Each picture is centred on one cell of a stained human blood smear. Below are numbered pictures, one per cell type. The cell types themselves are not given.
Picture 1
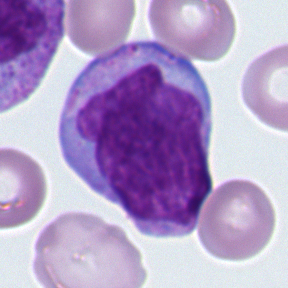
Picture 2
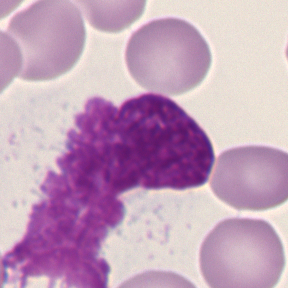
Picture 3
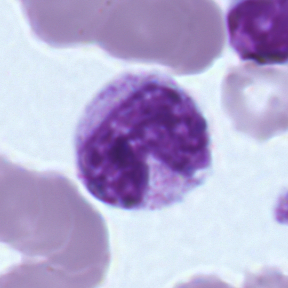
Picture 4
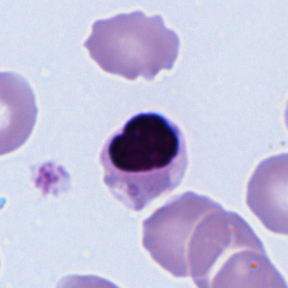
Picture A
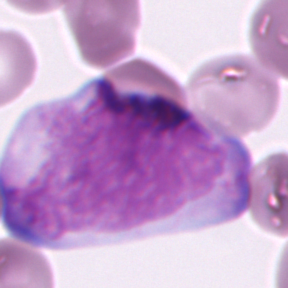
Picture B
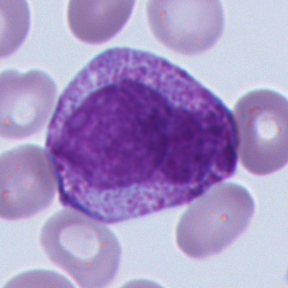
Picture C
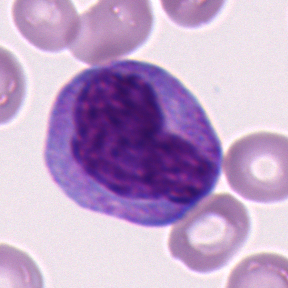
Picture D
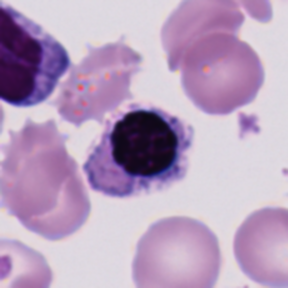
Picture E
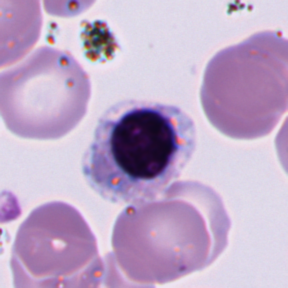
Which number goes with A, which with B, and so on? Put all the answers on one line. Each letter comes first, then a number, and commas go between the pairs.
A 1, B 1, C 1, D 4, E 4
